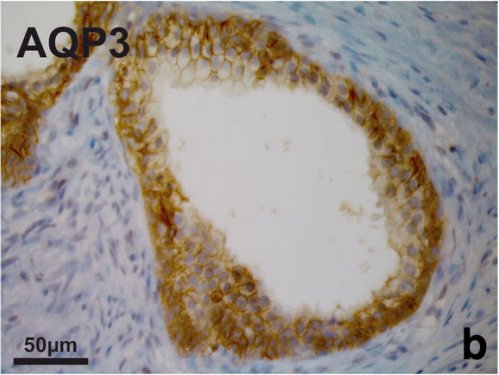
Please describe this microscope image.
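The brown stain outlines the individual epithelial cells like a honeycomb, strongest in the outer layers toward the stroma and fading toward the luminal surface. Small blue nuclei sit within the outlined cells. The surrounding stroma of elongated spindle cells with blue nuclei shows no brown stain.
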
